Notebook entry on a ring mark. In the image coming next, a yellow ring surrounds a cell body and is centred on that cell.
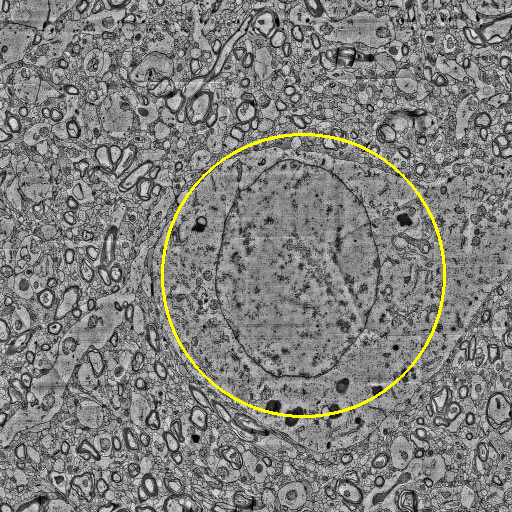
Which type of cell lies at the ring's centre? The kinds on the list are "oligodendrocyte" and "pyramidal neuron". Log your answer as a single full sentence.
Centred in the yellow ring is a pyramidal neuron, the cell recorded for this image.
